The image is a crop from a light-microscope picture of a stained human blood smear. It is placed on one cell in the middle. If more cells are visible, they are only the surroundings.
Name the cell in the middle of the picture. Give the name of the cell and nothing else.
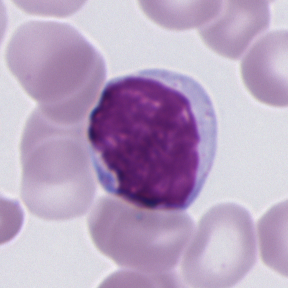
large granular lymphocyte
